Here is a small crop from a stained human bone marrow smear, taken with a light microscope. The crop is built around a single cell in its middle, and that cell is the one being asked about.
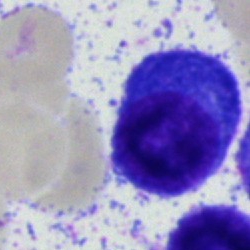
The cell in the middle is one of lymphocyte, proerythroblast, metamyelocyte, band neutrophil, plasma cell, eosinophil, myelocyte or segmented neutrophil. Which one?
plasma cell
